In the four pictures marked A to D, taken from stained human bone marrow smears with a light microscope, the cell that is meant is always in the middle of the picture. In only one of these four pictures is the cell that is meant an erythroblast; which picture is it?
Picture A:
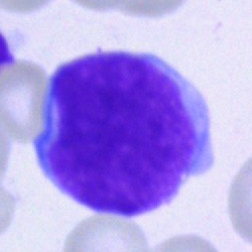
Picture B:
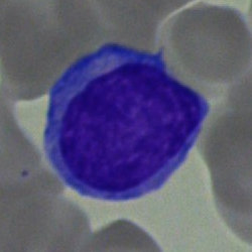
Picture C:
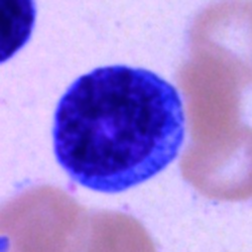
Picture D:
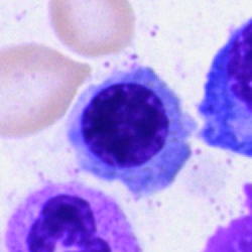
D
